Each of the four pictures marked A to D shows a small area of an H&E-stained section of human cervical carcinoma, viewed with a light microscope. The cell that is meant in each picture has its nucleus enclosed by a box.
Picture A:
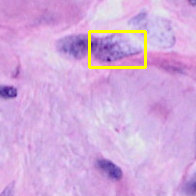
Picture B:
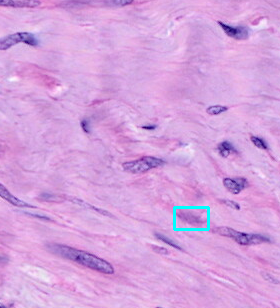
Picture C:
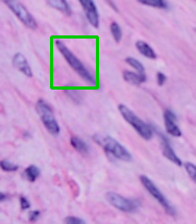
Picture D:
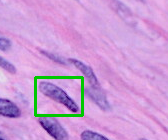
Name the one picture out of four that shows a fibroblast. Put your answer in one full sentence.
Picture D shows the fibroblast.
